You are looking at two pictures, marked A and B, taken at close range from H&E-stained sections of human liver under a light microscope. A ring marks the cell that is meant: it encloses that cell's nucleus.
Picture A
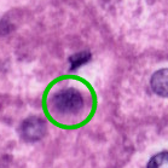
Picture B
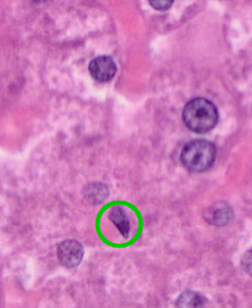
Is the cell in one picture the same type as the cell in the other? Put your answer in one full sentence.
Yes, the two pictures both show endothelial cells.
